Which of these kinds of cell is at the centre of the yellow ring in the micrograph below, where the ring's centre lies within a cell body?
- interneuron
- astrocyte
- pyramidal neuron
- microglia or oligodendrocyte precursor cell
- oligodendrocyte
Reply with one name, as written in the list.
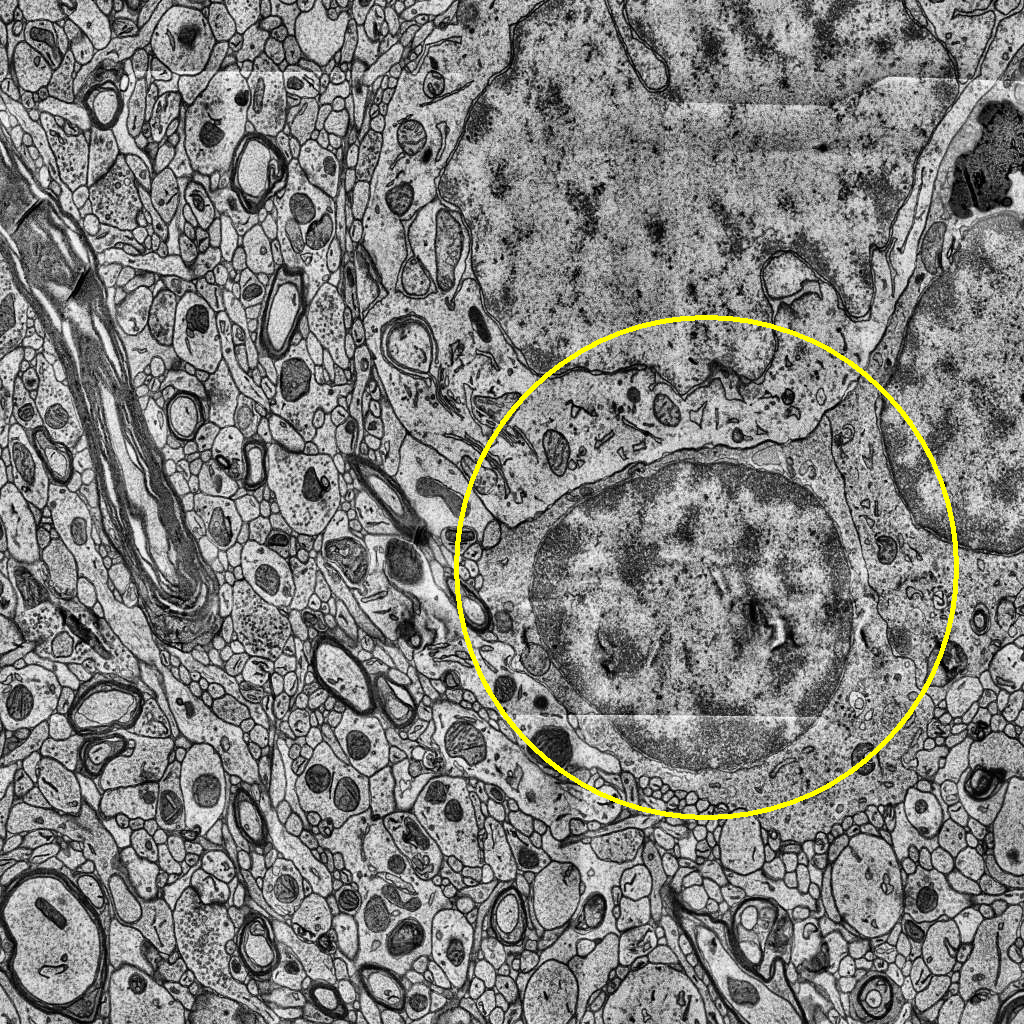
oligodendrocyte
